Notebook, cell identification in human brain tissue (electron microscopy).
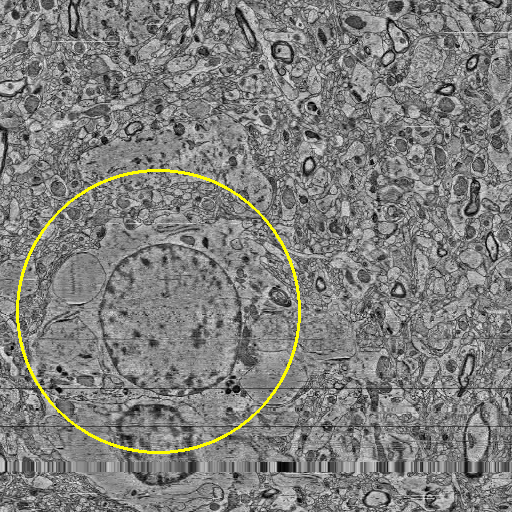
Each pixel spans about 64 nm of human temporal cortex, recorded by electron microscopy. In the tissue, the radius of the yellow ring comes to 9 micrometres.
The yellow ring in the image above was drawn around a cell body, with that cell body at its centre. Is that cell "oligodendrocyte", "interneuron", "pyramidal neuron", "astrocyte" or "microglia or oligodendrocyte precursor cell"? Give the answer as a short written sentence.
The cell in the ring is an astrocyte.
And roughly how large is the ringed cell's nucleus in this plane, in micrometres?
Roughly 10 micrometres across for the nucleus, in this plane.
